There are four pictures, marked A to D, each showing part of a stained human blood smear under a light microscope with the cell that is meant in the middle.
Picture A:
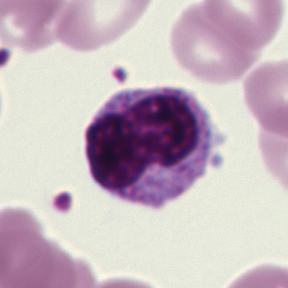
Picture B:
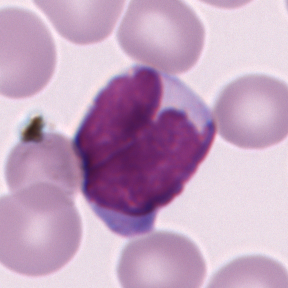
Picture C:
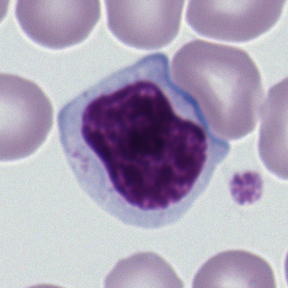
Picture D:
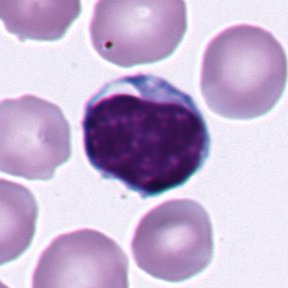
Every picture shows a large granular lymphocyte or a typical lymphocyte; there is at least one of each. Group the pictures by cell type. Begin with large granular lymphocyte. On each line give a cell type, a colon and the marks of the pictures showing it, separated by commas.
large granular lymphocyte: A, B, C
typical lymphocyte: D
